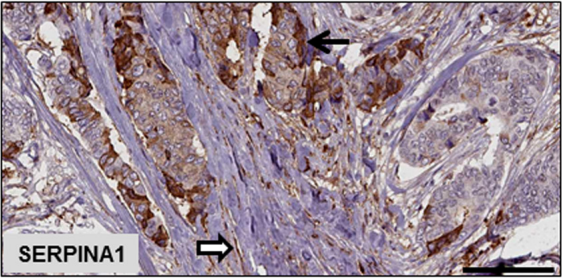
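The carcinoma cells are large and polygonal with rounded nuclei. Brown staining is strongest in the cells at the edges of the nests, while cells in the centres of the nests are paler. Between the nests, the stroma is made of streaming blue fibres with elongated nuclei, and some of the spindle cells are also brown.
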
